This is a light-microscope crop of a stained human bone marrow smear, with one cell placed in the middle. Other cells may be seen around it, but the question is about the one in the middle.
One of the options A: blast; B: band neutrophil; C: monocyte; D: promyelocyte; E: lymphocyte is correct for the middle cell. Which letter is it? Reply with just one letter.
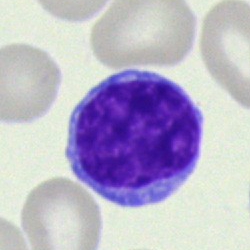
E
